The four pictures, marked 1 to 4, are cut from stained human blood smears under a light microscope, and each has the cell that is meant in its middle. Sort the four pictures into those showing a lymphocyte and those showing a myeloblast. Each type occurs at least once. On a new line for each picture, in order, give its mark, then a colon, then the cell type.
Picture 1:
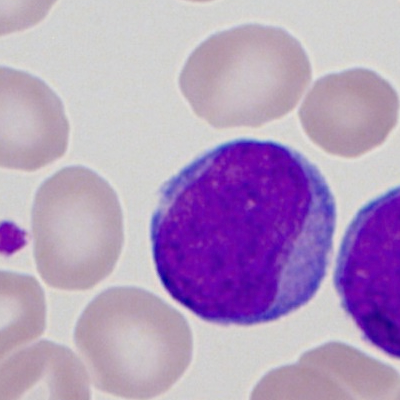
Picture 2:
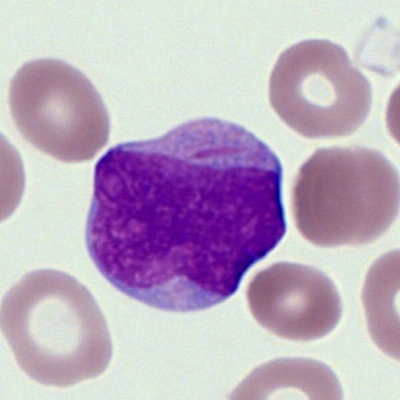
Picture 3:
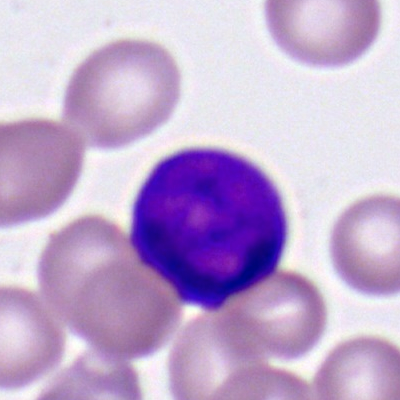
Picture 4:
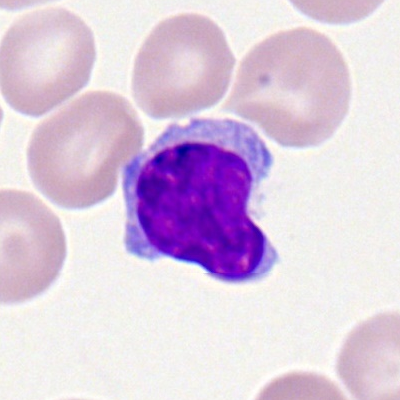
1: myeloblast
2: myeloblast
3: myeloblast
4: lymphocyte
